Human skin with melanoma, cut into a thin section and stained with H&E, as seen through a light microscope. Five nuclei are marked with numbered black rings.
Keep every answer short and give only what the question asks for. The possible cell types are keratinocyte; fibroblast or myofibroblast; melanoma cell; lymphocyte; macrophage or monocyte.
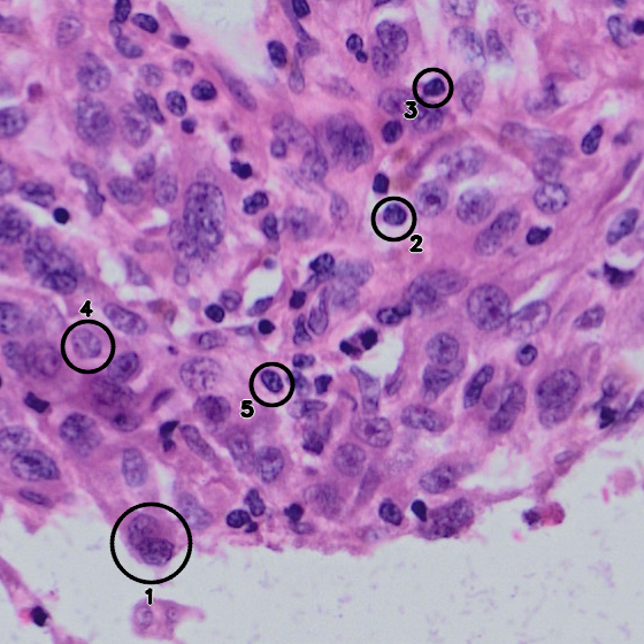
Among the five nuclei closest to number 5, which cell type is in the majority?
lymphocyte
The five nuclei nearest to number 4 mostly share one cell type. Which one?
melanoma cell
